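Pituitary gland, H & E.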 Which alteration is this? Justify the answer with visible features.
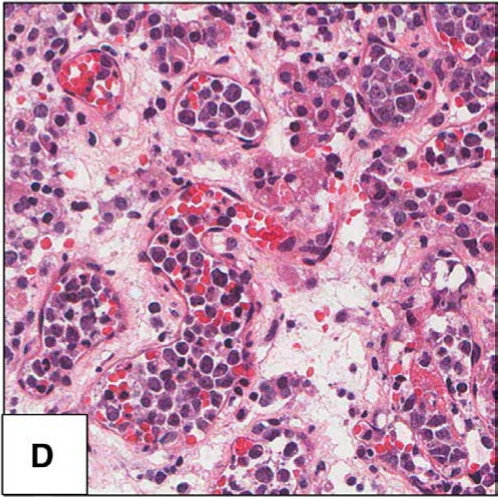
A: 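Tumor cell clusters. Groups of large round dark cells sit inside vessel channels lined by thin flat cells. Red blood cells lie mixed with the clustered cells inside the lumina. Loose pale stroma surrounds the vessels.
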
